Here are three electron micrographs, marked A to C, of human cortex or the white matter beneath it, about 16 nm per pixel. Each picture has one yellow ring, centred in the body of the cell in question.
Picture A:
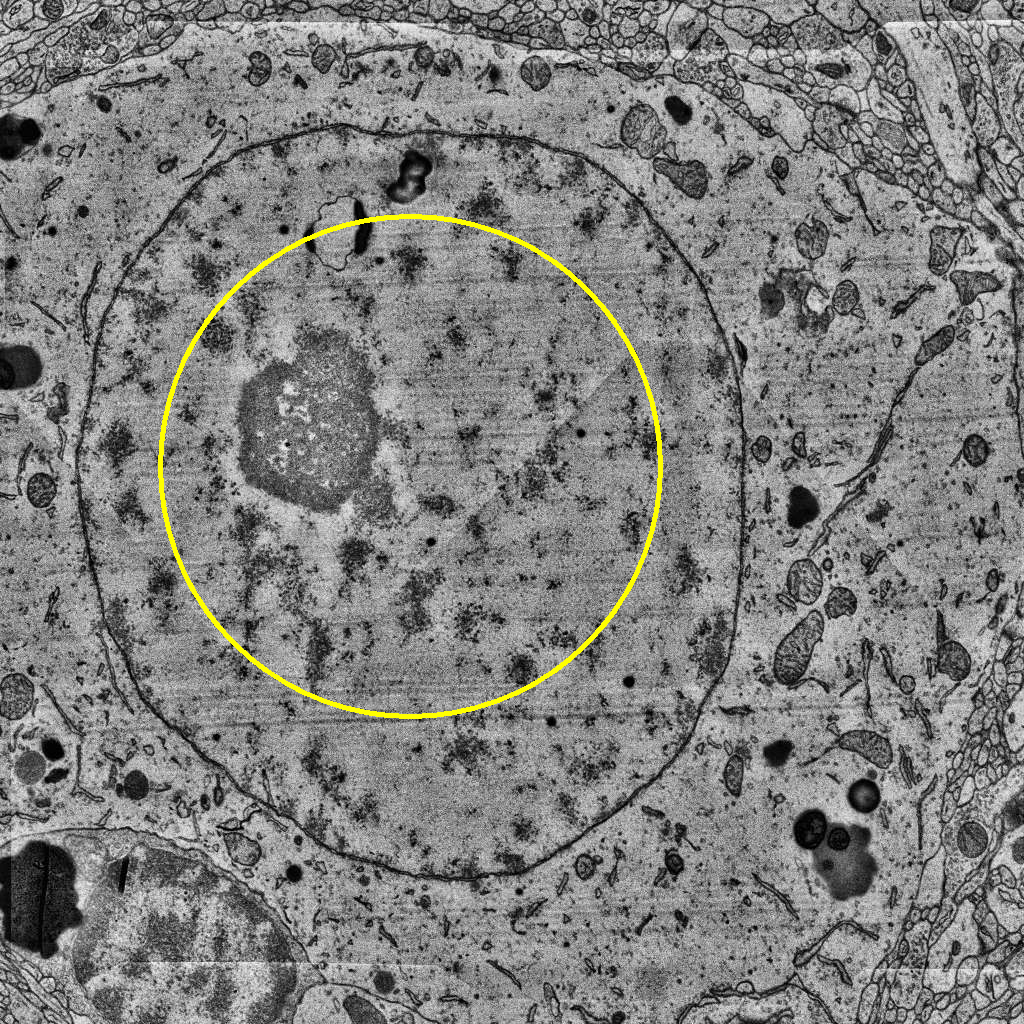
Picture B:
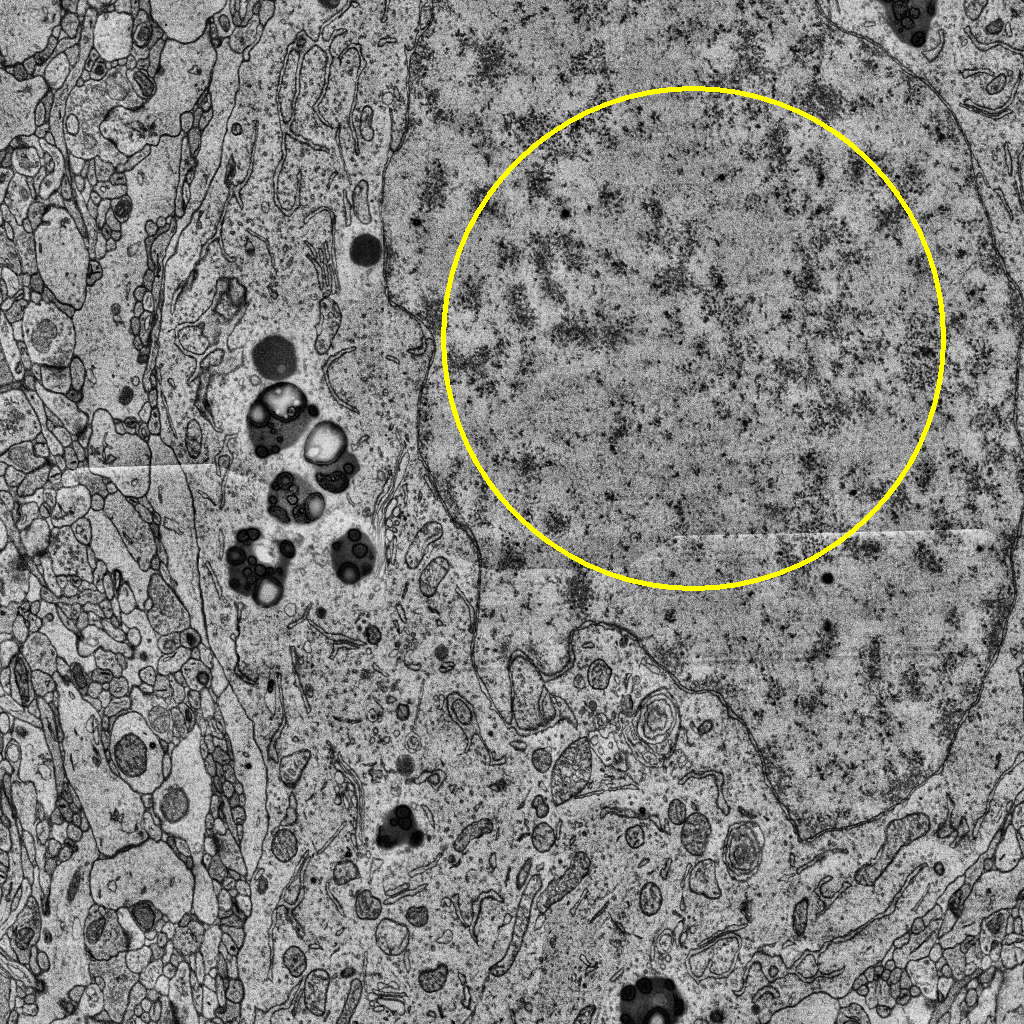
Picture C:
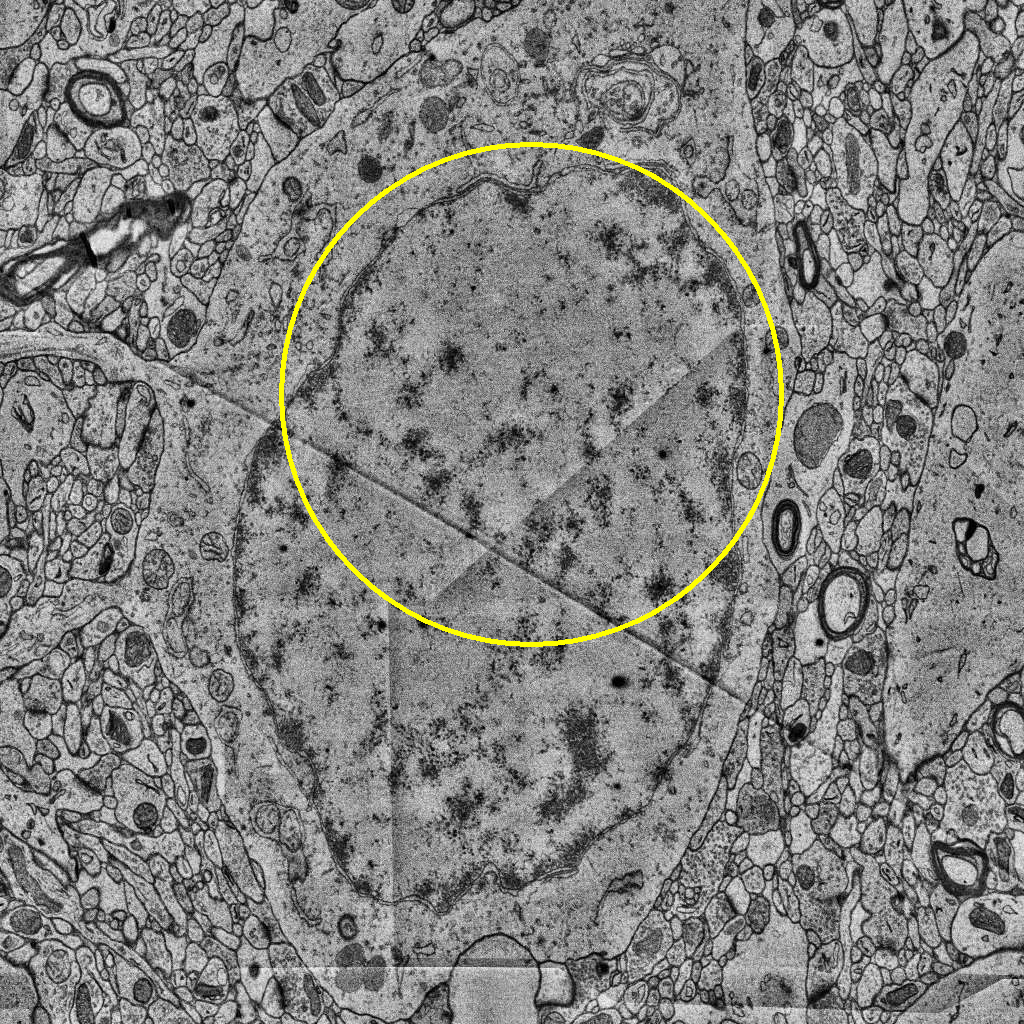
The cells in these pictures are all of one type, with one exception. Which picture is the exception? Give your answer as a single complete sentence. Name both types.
Picture A differs, because its cell is a pyramidal neuron and the rest are interneurons.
